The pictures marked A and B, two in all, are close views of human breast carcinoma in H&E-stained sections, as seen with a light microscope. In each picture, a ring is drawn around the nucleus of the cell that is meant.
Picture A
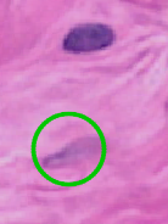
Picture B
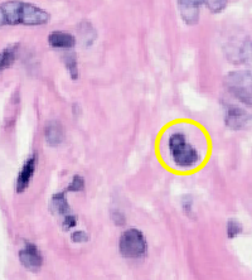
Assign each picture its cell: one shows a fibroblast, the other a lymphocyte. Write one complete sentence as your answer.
The cell in picture A is a fibroblast, and the one in picture B is a lymphocyte.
